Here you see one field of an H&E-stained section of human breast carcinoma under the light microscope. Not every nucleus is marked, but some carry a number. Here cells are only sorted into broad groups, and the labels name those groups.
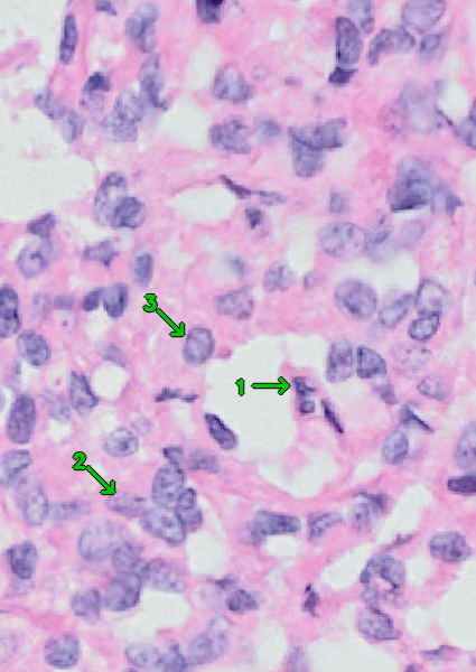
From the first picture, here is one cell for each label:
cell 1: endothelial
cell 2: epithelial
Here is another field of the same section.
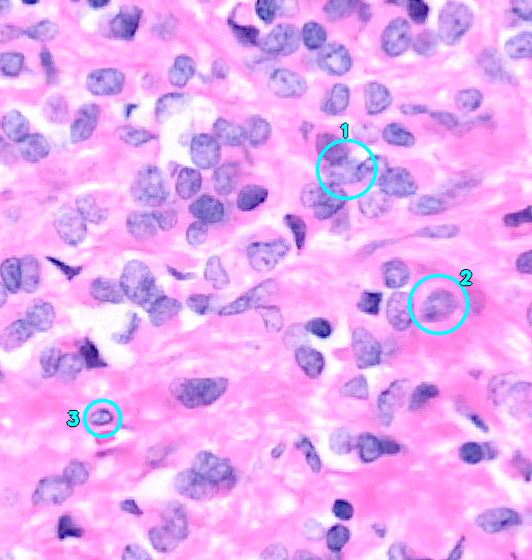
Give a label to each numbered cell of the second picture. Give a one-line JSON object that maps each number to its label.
{"1": "epithelial", "2": "epithelial", "3": "endothelial"}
